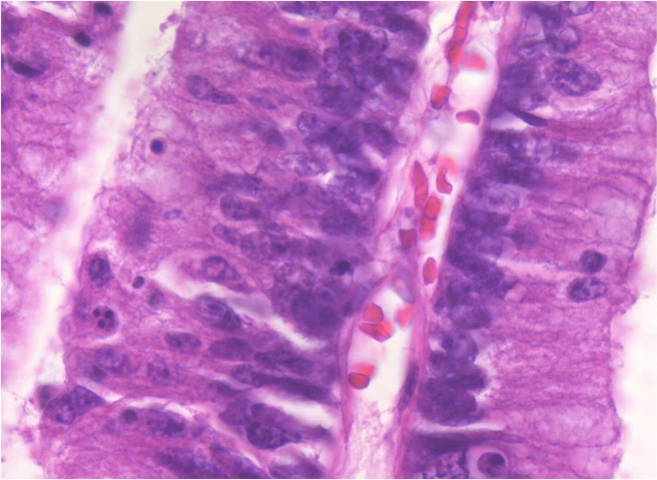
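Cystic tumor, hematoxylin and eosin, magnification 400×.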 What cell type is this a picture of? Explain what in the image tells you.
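Tall columnar cells line thin stromal cores in closely packed rows. The nuclei are large, dark and crowded. Red blood cells lie in a narrow stromal space between two epithelial layers.
Hence: atypical epithelial cells.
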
